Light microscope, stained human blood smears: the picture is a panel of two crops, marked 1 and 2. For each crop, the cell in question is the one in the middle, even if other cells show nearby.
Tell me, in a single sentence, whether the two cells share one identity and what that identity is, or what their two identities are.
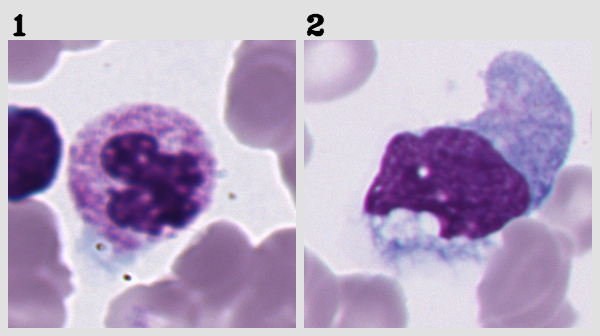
No, in crop 1 there is a neutrophil, and in crop 2 there is a monocyte.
